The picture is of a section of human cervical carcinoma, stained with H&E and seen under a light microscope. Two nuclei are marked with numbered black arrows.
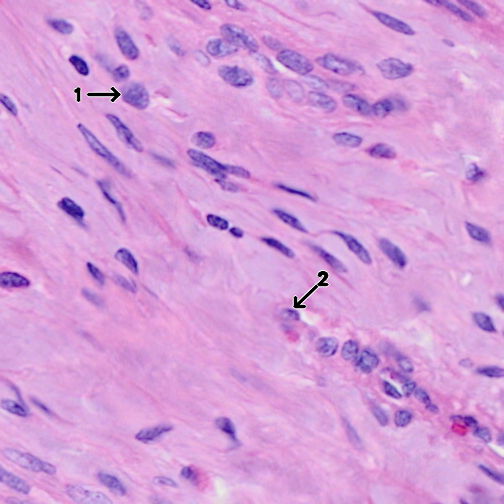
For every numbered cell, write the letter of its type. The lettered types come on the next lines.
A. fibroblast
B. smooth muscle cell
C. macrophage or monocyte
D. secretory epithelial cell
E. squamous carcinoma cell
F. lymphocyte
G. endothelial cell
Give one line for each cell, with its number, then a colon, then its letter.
1: A
2: G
